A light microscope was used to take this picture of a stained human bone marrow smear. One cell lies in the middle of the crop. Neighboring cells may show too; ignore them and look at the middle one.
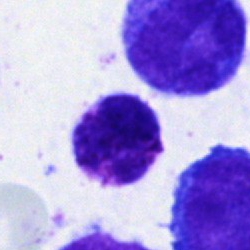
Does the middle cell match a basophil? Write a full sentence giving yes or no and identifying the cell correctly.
Yes, the middle cell is properly termed a basophil.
